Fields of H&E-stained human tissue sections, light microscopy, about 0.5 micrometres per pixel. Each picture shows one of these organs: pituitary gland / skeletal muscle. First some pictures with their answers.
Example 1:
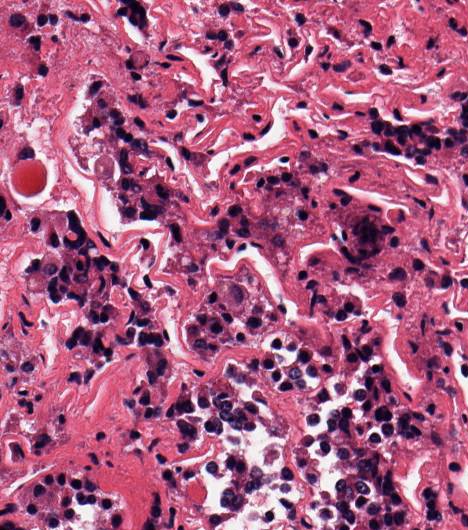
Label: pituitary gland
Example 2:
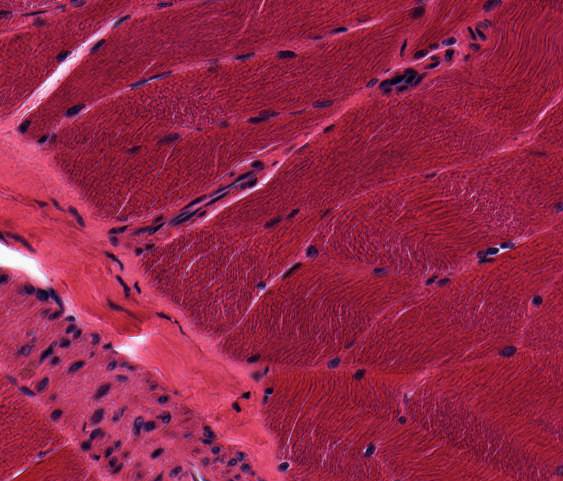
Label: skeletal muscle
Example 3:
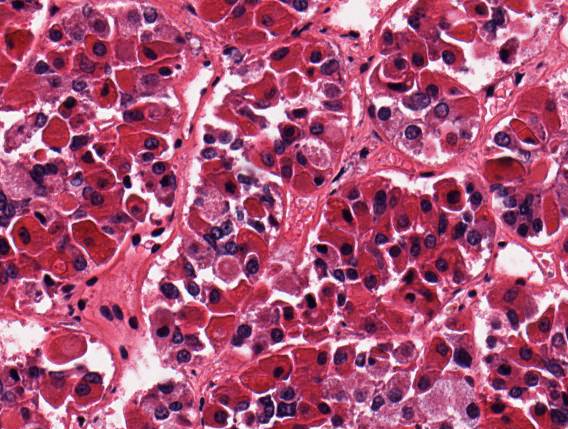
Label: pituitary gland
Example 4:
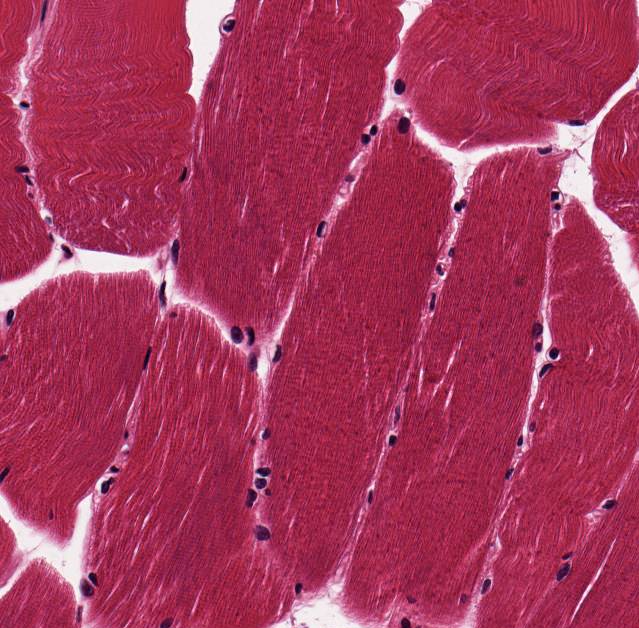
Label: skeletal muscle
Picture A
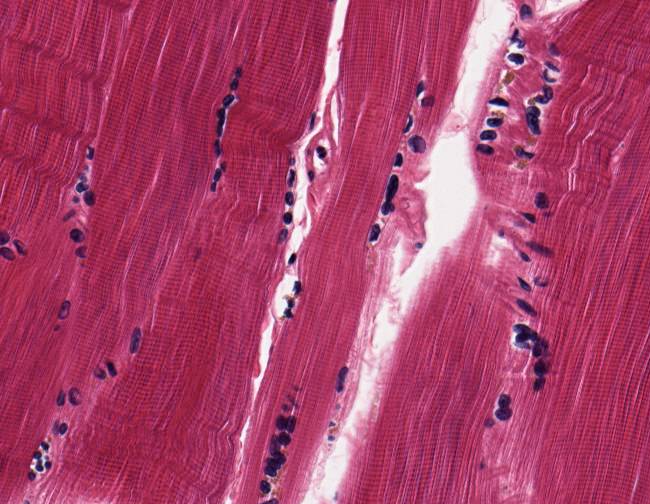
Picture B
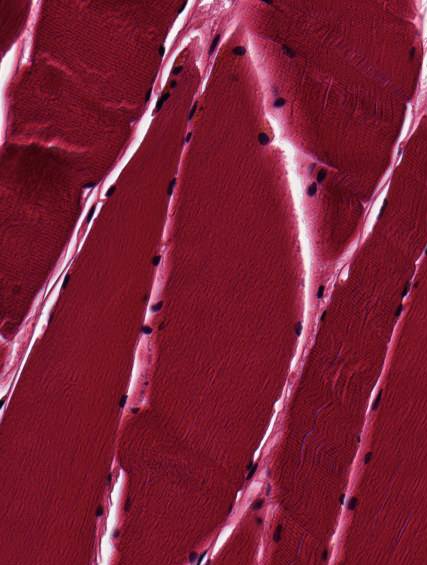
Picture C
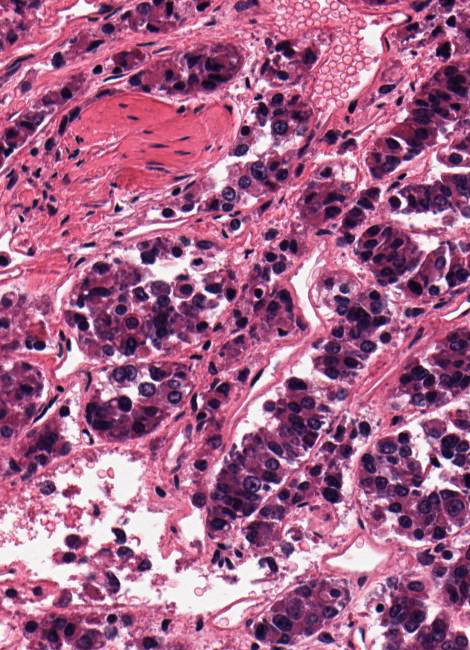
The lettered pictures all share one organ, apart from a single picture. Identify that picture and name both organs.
C: pituitary gland; all the others: skeletal muscle.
